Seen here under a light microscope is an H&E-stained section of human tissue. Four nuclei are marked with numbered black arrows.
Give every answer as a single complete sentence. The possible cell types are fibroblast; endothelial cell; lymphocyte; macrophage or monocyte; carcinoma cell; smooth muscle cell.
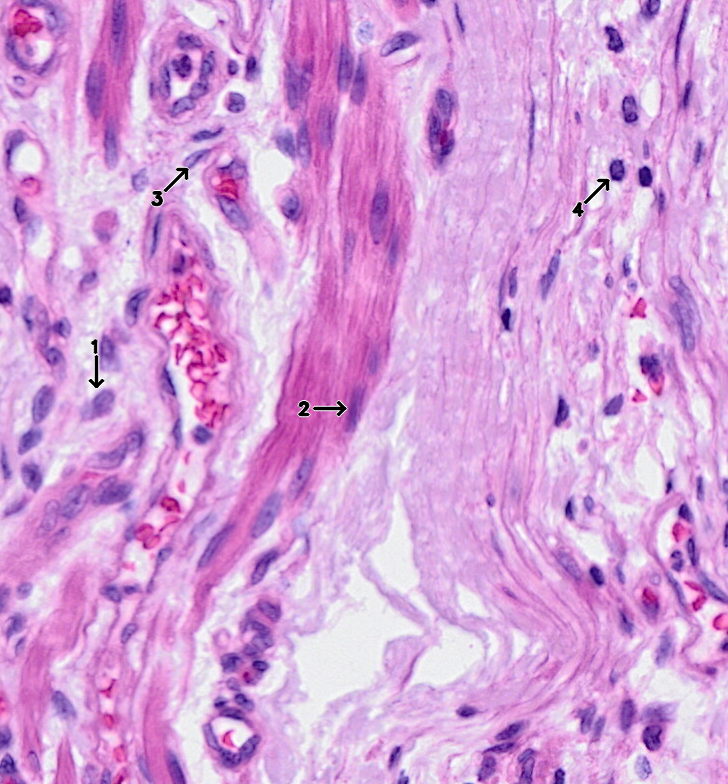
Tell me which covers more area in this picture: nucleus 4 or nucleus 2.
Nucleus 2 covers more area, about 1.5 times as much as nucleus 4.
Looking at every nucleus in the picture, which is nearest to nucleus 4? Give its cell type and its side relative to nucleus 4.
The nearest one is a lymphocyte, found to the right of nucleus 4.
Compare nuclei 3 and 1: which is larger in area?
Of the two, number 1 is bigger and takes up about 2 times the area of number 3.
